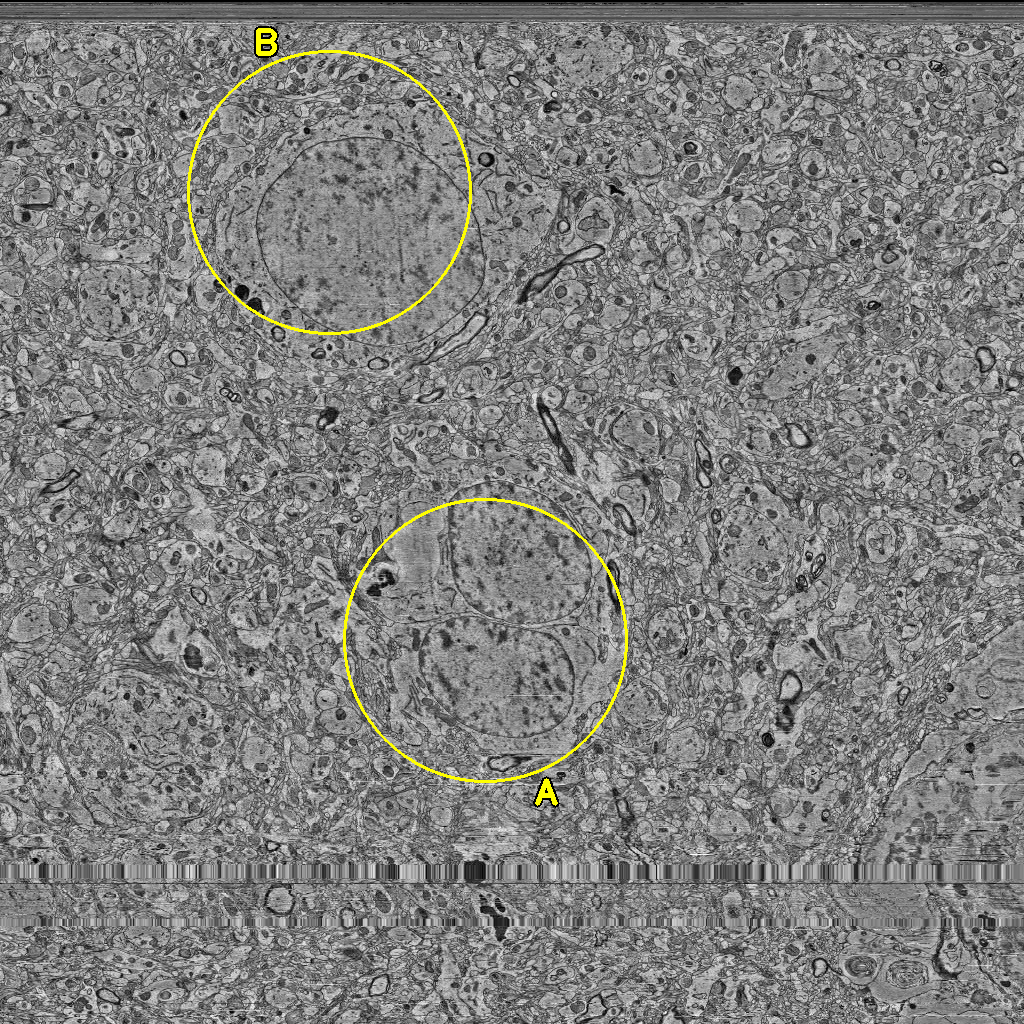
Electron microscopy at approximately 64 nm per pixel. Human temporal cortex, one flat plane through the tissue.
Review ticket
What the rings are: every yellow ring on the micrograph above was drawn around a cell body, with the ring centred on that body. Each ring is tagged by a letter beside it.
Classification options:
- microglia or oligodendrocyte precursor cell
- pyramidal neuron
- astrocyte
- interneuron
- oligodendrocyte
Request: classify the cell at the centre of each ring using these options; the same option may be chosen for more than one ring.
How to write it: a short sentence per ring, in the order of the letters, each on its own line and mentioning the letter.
The cell centred in ring A is an astrocyte.
The cell centred in ring B is a pyramidal neuron.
